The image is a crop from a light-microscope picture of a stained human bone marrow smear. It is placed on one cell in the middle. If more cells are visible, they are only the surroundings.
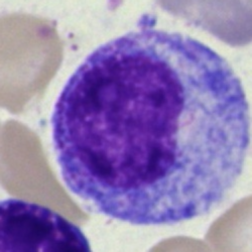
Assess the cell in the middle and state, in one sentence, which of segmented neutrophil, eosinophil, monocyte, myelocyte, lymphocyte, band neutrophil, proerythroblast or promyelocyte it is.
In this smear crop, the middle cell is a promyelocyte.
